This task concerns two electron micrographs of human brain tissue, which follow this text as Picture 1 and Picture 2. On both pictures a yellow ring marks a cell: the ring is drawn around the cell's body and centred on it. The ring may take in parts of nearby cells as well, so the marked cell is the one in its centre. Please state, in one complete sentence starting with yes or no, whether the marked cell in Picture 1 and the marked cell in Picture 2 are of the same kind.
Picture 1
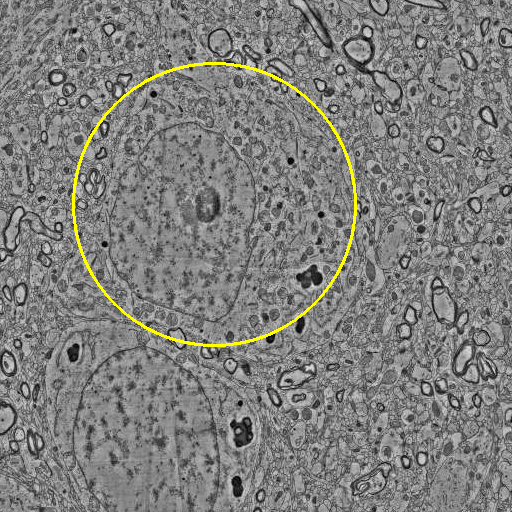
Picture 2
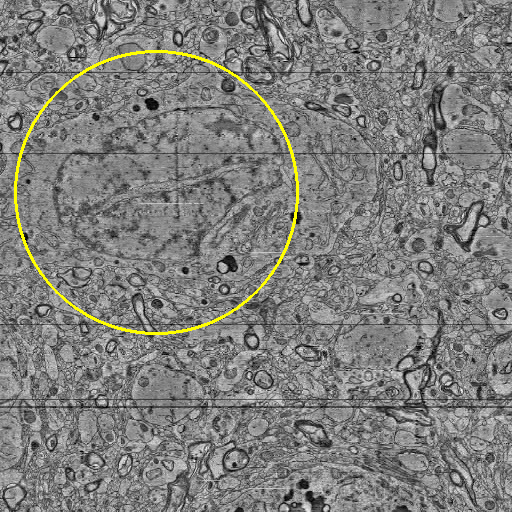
Yes, the marked cells in both pictures are of the same kind.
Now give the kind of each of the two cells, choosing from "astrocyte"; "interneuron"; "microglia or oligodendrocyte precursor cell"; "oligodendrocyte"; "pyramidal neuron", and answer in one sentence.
The cell at the ring centre is an interneuron in both pictures.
